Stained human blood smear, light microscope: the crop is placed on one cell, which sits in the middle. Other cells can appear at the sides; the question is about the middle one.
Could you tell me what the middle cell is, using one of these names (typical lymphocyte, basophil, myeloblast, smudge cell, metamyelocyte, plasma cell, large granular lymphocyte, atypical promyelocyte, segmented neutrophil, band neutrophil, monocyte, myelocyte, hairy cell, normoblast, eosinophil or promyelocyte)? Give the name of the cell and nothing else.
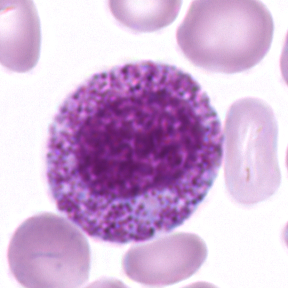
myelocyte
